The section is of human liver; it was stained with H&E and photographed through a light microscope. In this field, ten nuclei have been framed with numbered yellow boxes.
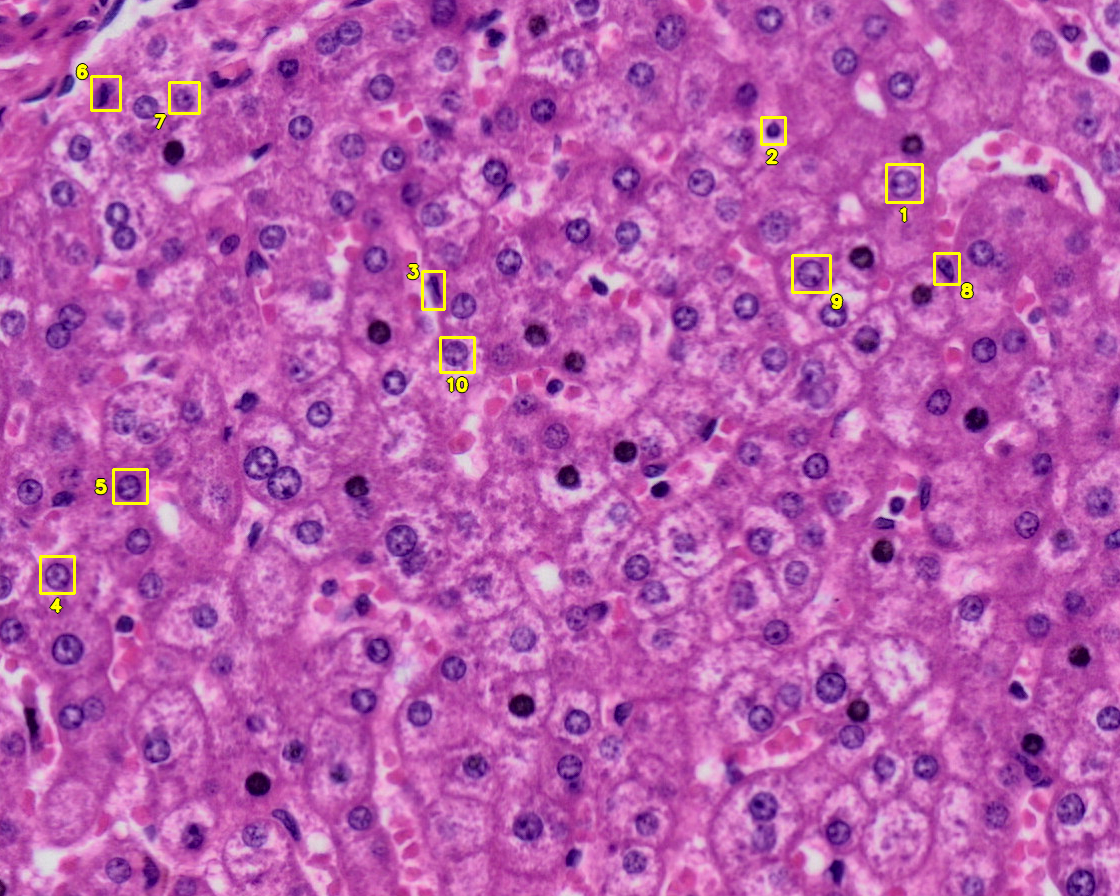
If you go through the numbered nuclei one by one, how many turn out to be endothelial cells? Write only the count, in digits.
1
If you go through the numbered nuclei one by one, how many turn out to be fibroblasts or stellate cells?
2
